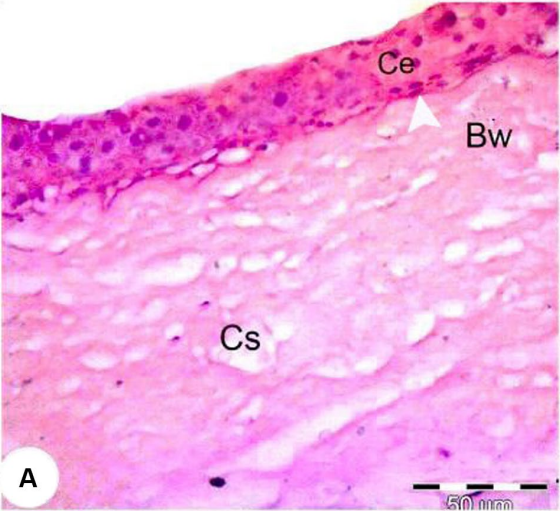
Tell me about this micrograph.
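This is the cornea, with a stratified epithelium of several layers of cells on top, their round to oval nuclei stained dark purple in pink cytoplasm. Just beneath the basal cells runs a thin boundary line, and below it a pale, nearly cell-free layer. The rest of the section is the thick stroma, made of pink layered collagen lamellae separated by many clefts, with only a few scattered flattened dark nuclei.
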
